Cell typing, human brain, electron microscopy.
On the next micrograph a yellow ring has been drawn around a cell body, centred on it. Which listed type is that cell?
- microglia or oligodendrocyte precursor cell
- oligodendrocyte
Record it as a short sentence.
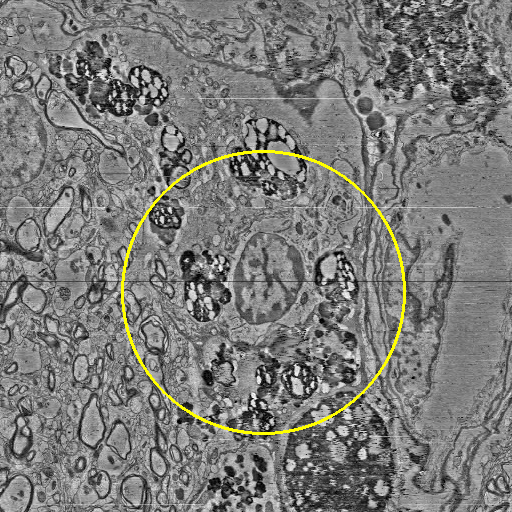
The cell body in the ring's centre belongs to a microglial cell or oligodendrocyte precursor cell.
